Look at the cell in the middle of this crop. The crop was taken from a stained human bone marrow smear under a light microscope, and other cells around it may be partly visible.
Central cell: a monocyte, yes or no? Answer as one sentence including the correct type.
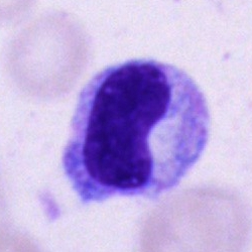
No, the cell found centrally in the crop is a metamyelocyte, not a monocyte.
